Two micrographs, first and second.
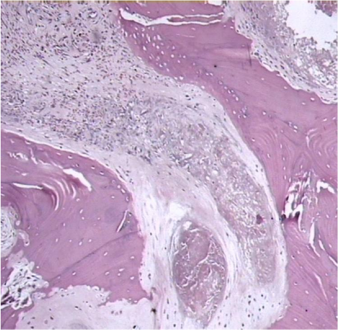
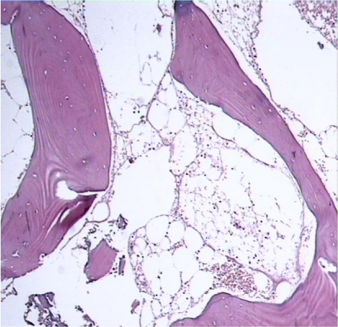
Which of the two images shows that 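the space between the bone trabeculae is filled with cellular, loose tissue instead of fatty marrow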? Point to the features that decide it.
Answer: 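First image: pale tissue crowded with small nuclei lies between the pink trabeculae, with no fat vacuoles. Second image: large empty fat vacuoles and scattered blood cells fill the space between the pink trabeculae. The answer: the first image.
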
